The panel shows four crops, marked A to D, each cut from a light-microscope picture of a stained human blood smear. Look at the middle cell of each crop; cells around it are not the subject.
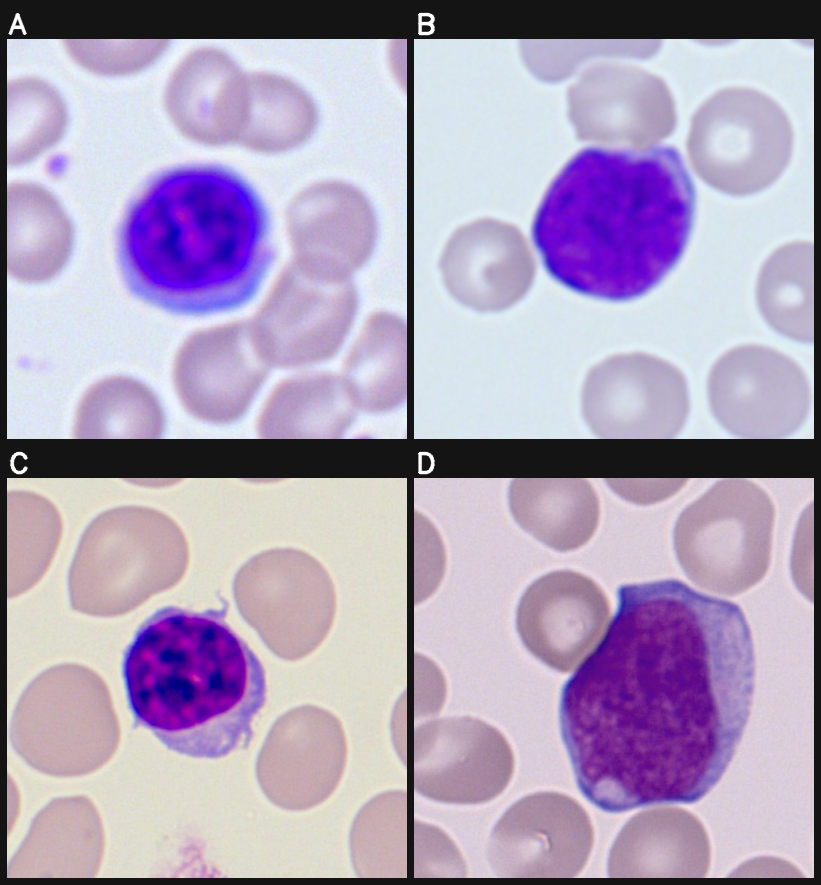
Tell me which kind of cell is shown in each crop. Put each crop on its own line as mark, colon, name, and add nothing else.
A: lymphocyte
B: blast
C: lymphocyte
D: blast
